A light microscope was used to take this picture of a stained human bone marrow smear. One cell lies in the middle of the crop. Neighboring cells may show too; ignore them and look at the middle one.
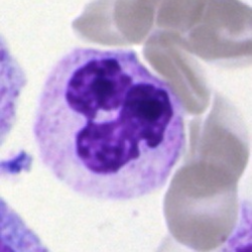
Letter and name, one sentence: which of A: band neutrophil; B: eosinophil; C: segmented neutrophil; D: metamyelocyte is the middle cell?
Answer key: option C, the middle cell being a segmented neutrophil.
